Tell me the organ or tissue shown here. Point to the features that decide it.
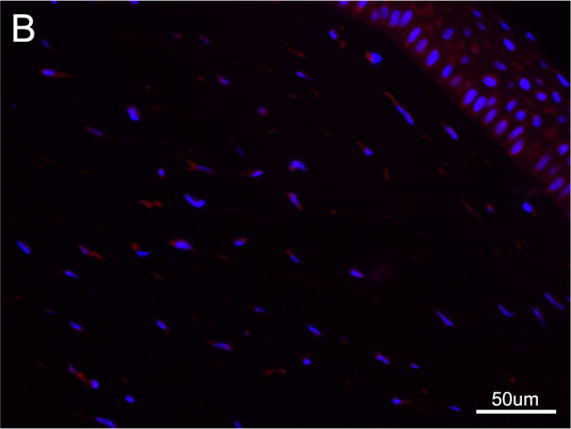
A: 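Anterior corneal stroma. A multilayered epithelium with closely packed oval nuclei runs along the upper right edge. No vessels are seen in the stroma.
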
